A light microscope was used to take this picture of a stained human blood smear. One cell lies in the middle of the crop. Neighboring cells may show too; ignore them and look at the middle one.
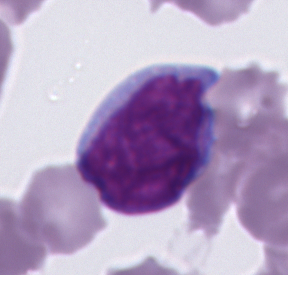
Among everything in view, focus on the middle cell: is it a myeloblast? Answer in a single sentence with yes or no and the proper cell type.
Yes, the cell at the heart of the crop is a myeloblast.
